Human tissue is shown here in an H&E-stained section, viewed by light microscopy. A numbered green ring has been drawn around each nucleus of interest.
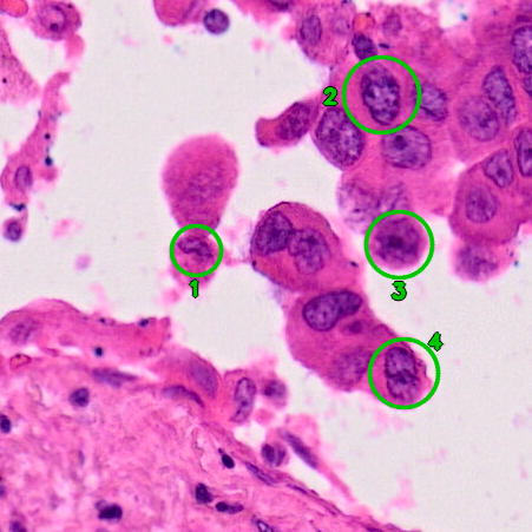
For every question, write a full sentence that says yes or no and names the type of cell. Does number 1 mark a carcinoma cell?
No, the cell bearing the number 1 is a macrophage or monocyte, not a carcinoma cell.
